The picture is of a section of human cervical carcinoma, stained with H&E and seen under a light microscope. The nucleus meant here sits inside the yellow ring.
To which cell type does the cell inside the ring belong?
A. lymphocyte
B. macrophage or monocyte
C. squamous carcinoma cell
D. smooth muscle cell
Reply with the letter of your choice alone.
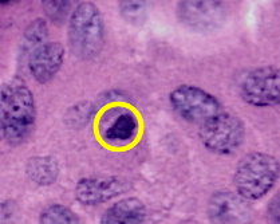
C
